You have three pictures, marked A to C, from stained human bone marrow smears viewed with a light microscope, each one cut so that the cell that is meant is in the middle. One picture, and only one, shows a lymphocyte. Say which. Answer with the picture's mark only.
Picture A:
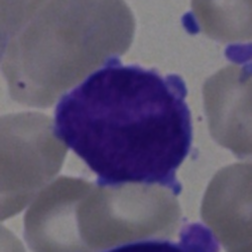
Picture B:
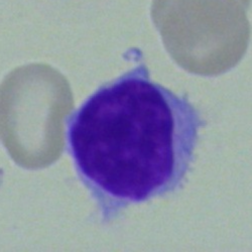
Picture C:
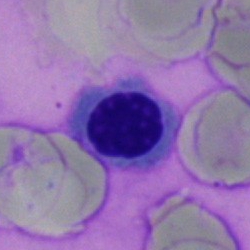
B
